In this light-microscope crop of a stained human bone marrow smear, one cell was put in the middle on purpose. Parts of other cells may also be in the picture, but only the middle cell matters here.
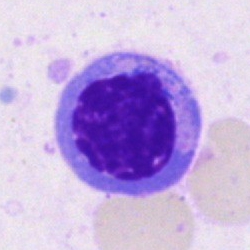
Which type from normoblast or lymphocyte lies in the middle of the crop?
normoblast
